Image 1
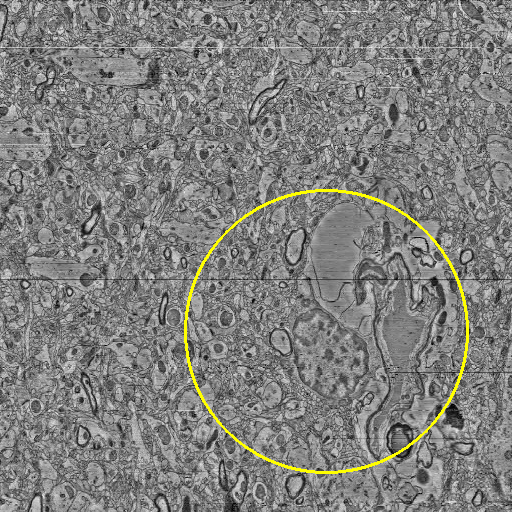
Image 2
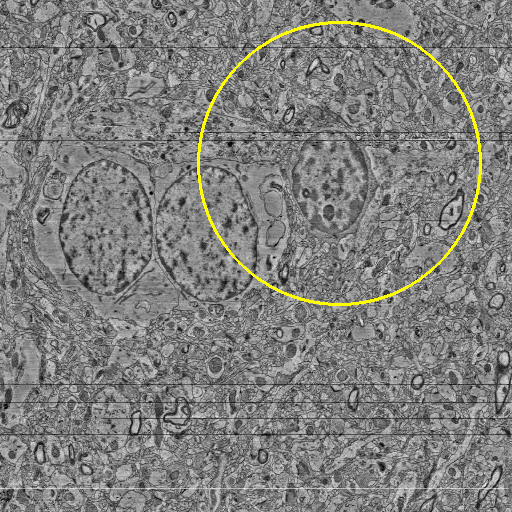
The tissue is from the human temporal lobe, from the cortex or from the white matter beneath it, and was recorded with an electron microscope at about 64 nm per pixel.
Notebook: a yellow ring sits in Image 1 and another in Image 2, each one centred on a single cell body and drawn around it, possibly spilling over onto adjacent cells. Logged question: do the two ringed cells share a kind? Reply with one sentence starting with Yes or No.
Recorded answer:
Yes, both centre cells inside the rings of Image 1 and Image 2 share one kind.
